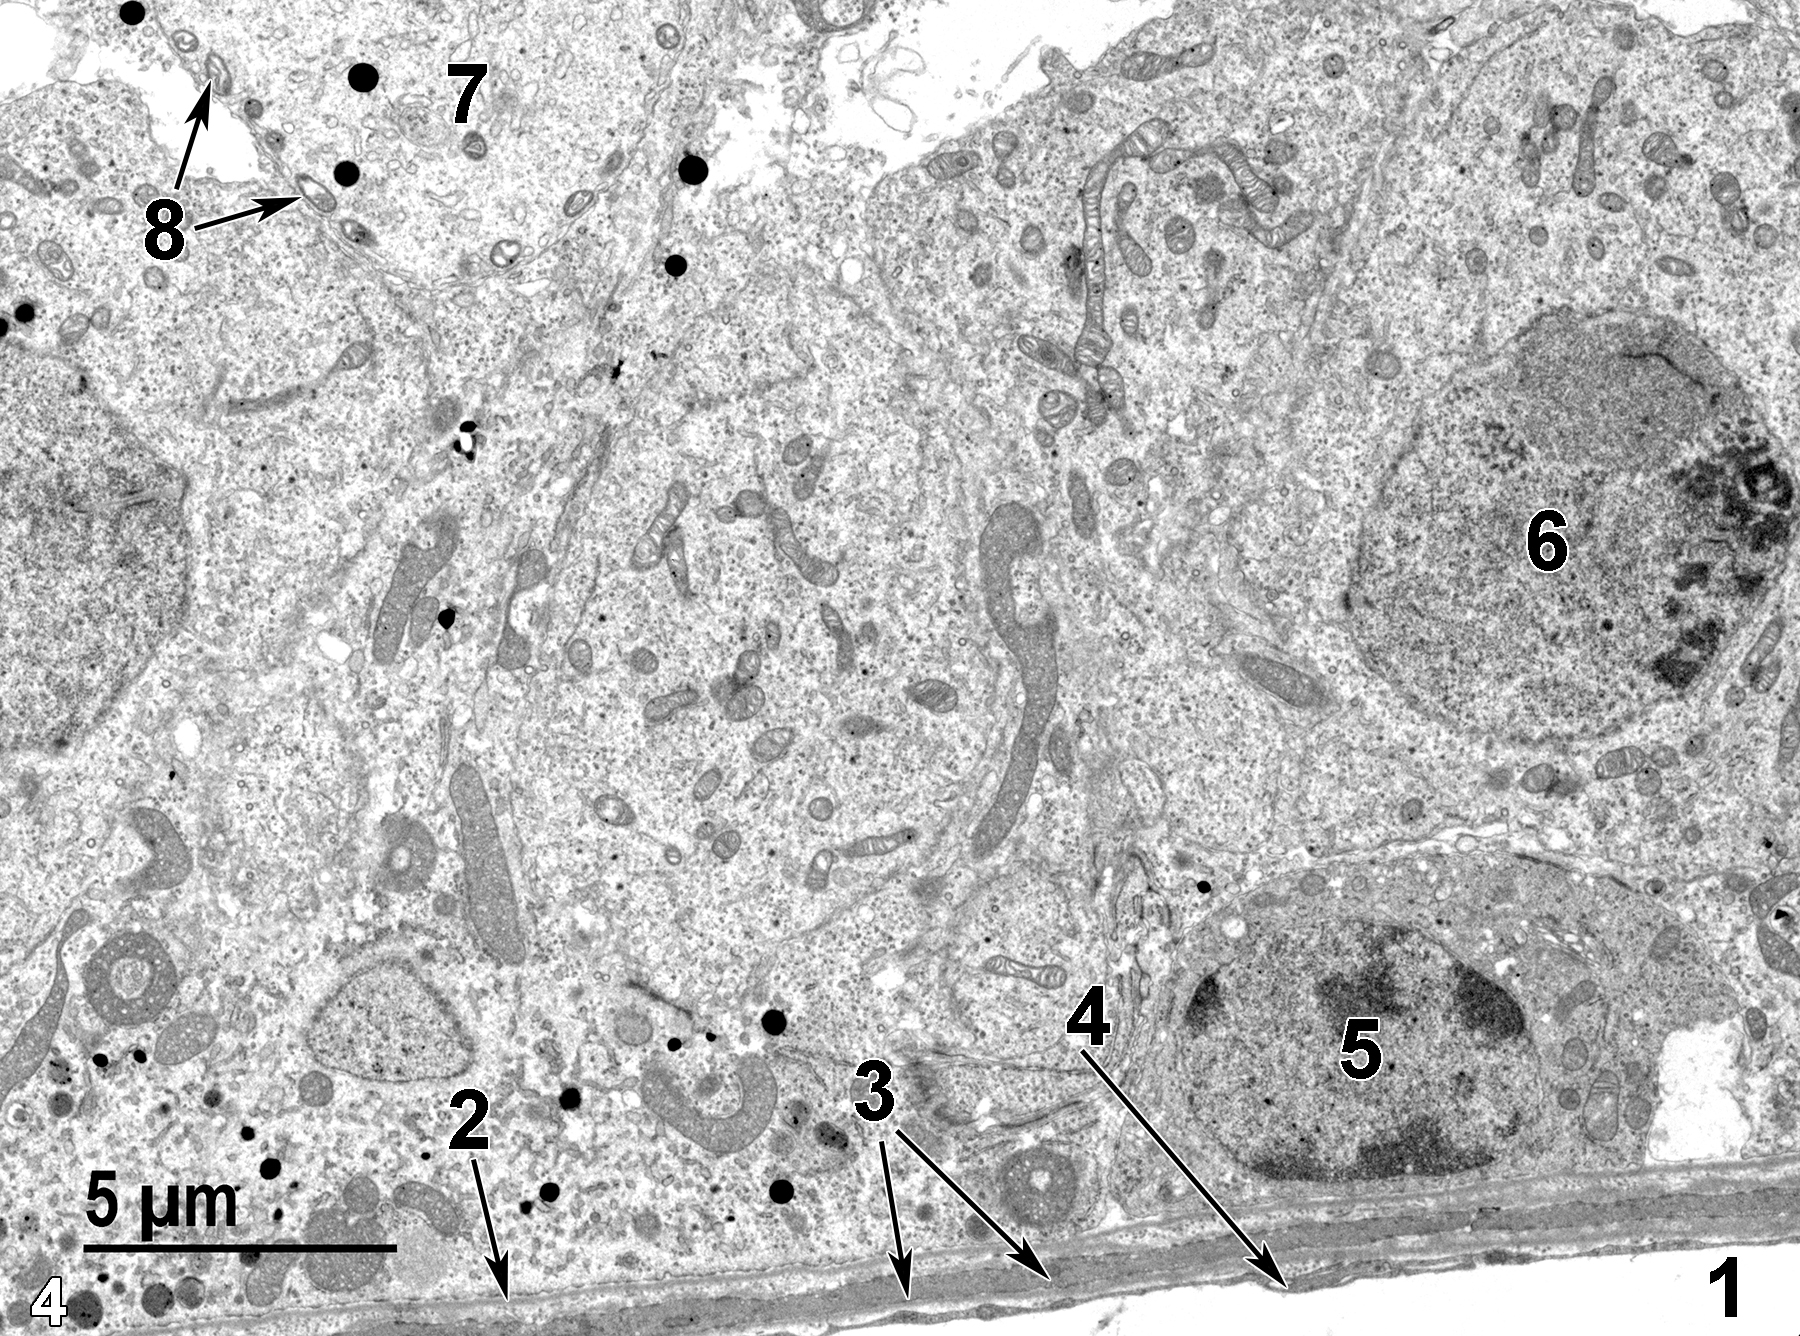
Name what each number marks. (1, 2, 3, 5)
(1) peritubular lymphatic space
(2) basal lamina
(3) peritubular myoid cells
(5) type A spermatogonium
